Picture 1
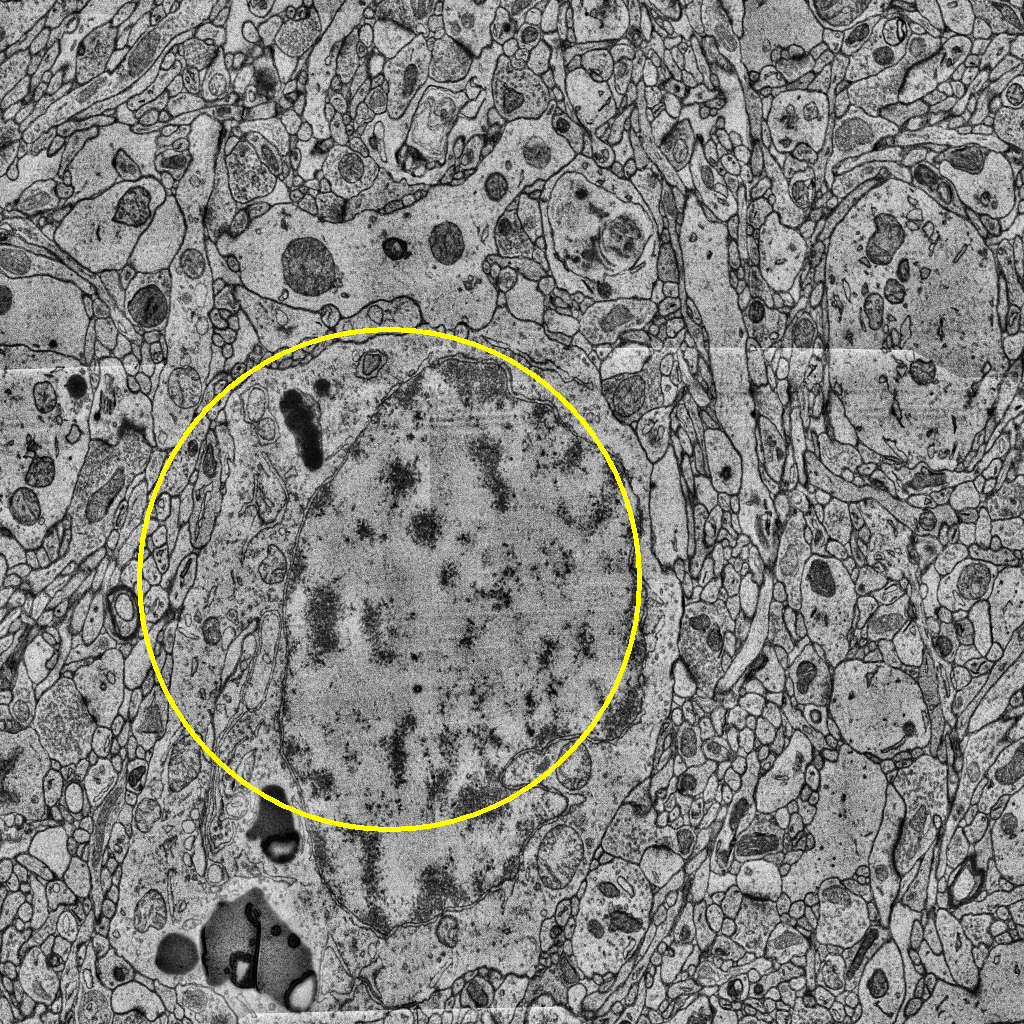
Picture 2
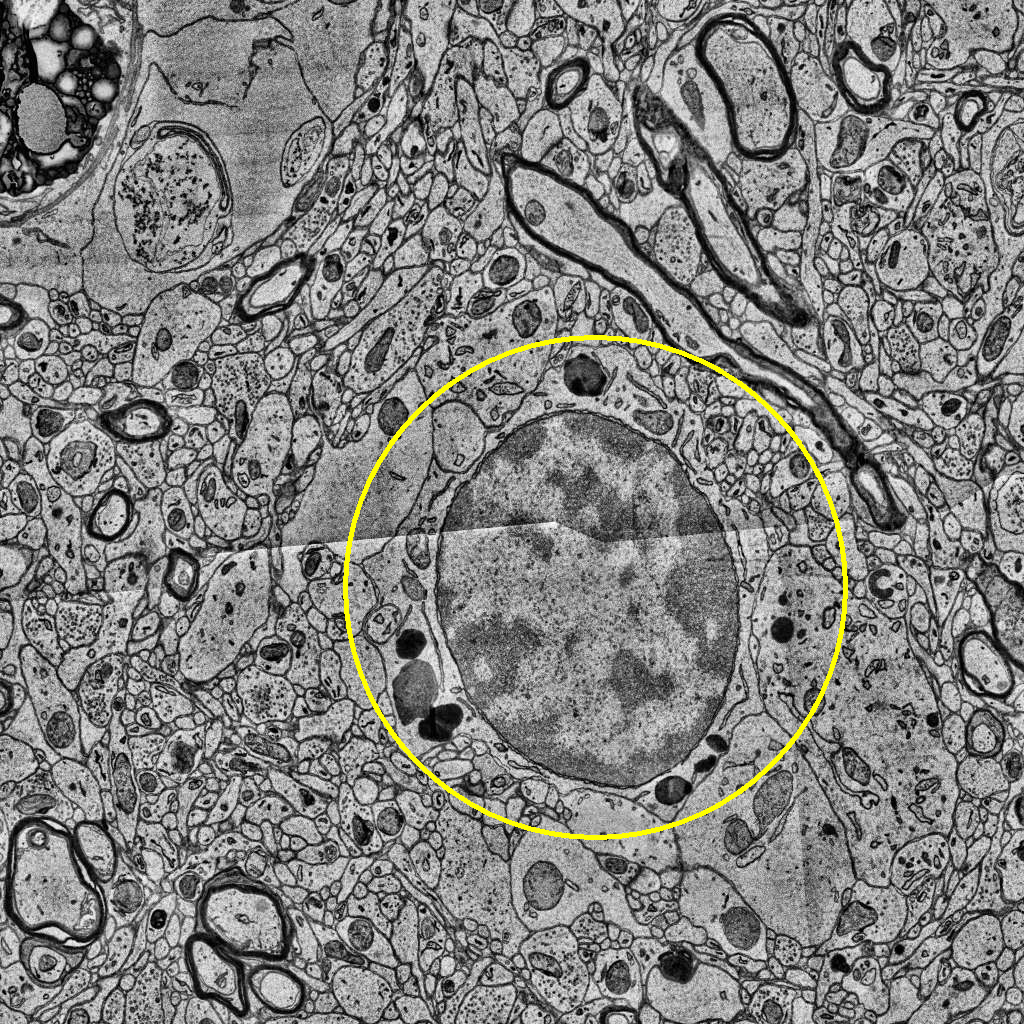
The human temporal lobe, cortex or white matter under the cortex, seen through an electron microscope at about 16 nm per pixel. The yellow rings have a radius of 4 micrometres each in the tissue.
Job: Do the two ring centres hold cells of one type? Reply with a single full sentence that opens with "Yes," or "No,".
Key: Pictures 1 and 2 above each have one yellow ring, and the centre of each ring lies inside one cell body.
No, the cells at the two ring centres are of two separate types.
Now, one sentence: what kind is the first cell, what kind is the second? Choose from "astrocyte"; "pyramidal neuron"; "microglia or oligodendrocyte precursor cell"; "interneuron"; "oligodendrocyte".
The ring in the first picture surrounds an interneuron, and the ring in the second surrounds a microglial cell or oligodendrocyte precursor cell.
